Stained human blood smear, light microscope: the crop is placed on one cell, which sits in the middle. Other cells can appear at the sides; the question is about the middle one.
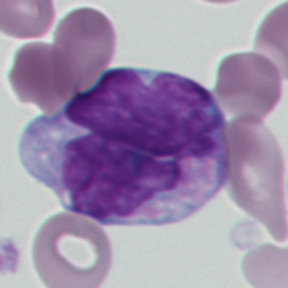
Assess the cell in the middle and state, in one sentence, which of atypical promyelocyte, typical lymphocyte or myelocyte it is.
The cell at the heart of this crop is an atypical promyelocyte.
